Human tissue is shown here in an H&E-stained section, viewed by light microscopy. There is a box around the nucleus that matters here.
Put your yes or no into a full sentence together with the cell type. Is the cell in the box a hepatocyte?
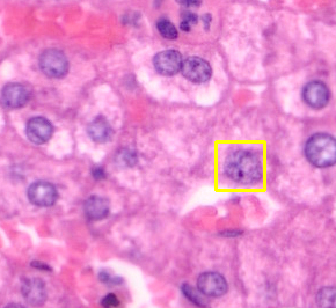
Yes, when classified by type, the cell in the box is a hepatocyte.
